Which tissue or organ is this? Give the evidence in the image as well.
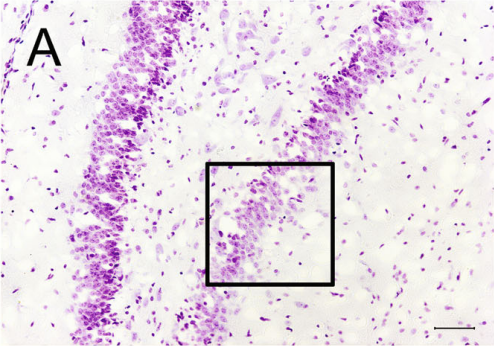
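Hippocampus. Curved bands of densely packed purple-stained neuronal cell bodies. Paler neuropil with scattered small nuclei between the bands.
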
